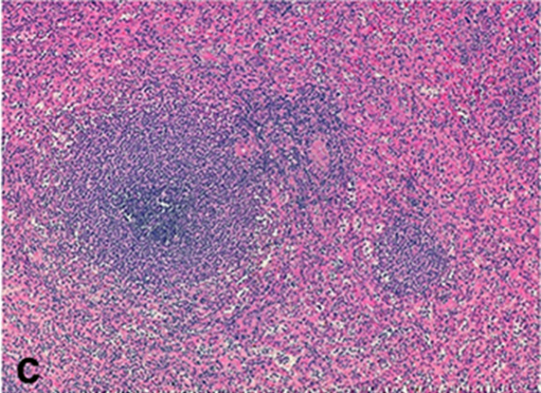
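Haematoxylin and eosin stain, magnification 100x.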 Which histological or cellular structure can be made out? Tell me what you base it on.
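Rounded clusters of densely packed small dark nuclei. Surrounding pink tissue that is rich in red cells, with scattered nuclei. That points to this answer: white pulp, alternating with areas of red pulp.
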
